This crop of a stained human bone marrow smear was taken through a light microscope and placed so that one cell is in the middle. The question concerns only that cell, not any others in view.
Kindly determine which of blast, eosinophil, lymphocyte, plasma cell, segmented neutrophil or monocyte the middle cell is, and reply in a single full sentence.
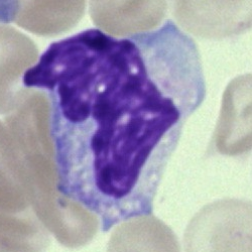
Whatever else lies nearby, the middle cell is a monocyte.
